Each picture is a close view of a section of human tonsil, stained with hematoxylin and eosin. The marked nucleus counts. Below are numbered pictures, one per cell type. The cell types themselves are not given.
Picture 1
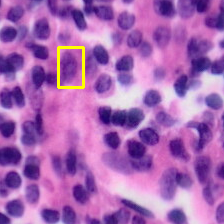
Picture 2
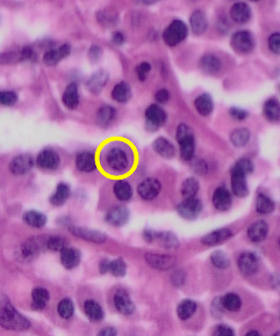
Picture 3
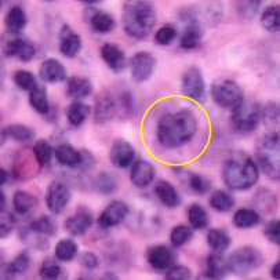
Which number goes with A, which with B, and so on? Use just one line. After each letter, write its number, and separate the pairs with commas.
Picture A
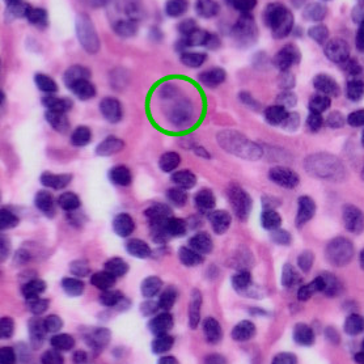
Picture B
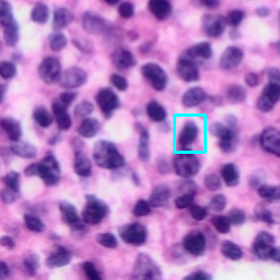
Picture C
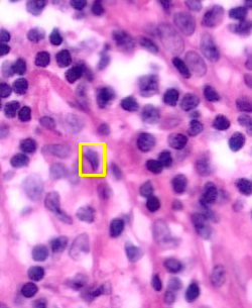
A 1, B 3, C 1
